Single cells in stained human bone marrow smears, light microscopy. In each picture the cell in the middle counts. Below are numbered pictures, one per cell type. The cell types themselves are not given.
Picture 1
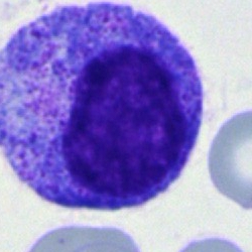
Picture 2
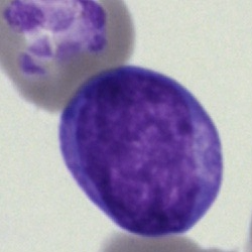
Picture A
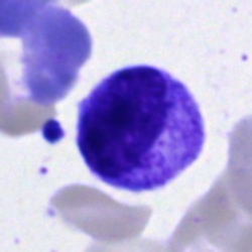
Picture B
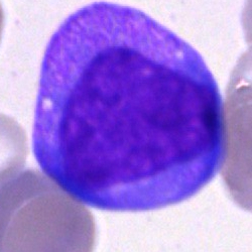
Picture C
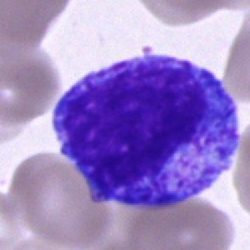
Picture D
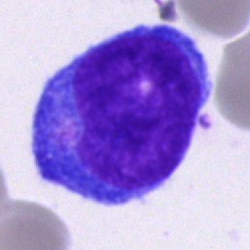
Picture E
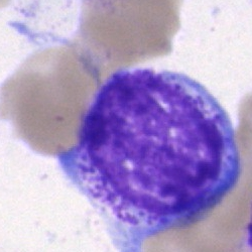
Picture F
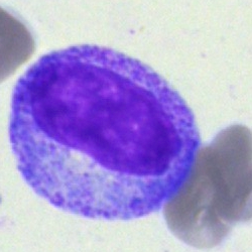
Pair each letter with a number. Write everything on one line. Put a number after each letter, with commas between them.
A 1, B 1, C 1, D 2, E 1, F 1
